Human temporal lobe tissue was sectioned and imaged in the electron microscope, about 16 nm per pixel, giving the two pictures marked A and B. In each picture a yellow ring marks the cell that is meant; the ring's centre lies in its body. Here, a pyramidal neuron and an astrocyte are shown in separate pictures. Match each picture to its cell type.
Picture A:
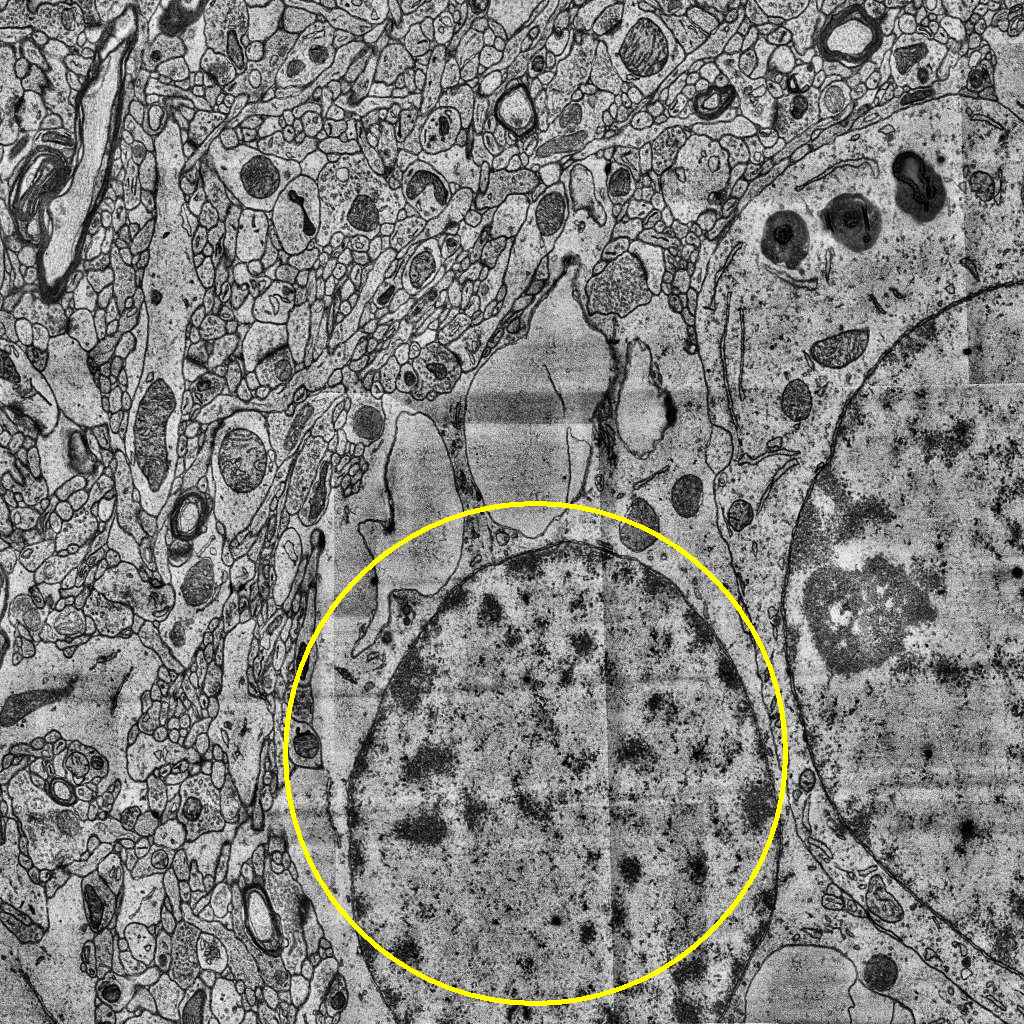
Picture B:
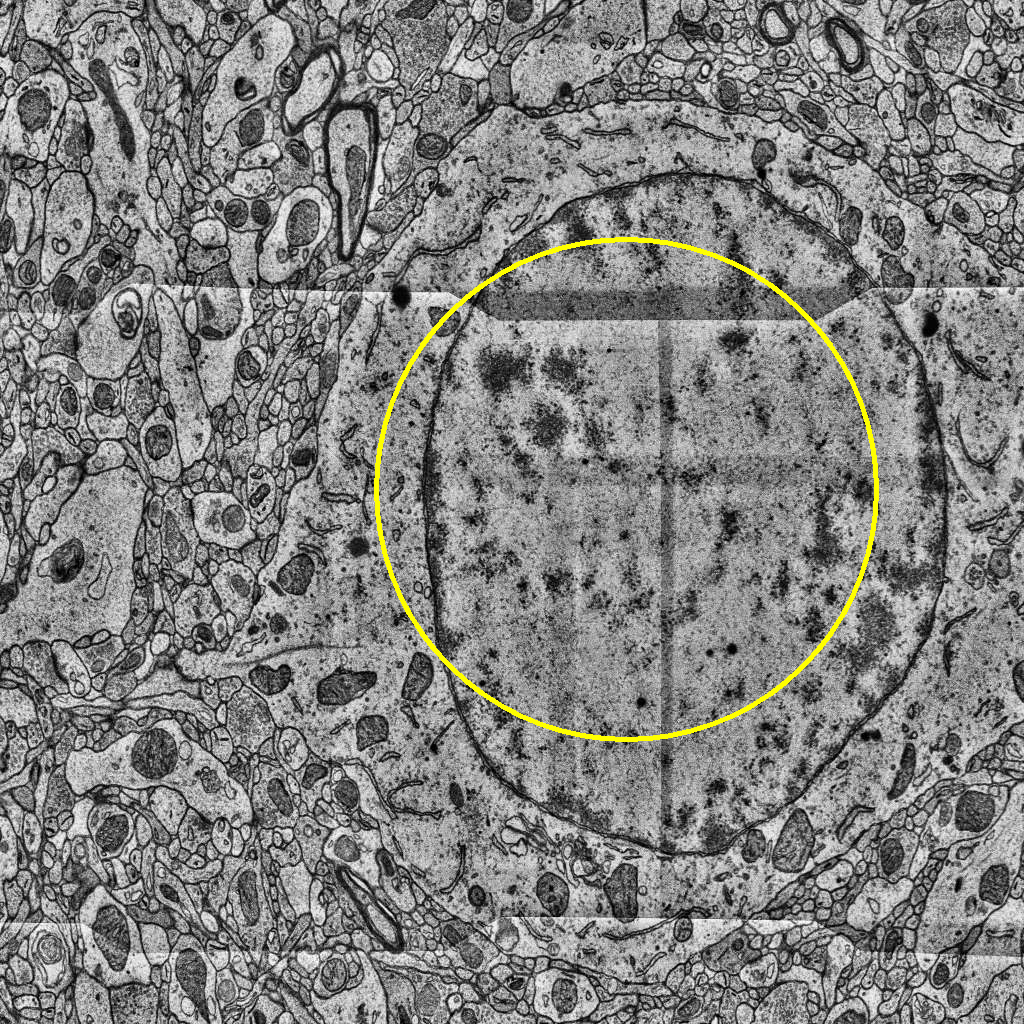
Picture B shows a pyramidal neuron, while picture A shows an astrocyte.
